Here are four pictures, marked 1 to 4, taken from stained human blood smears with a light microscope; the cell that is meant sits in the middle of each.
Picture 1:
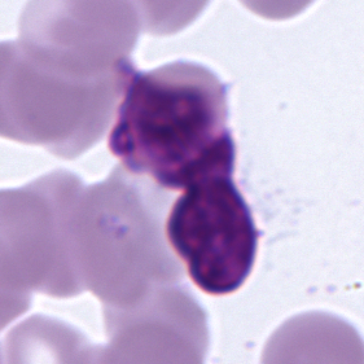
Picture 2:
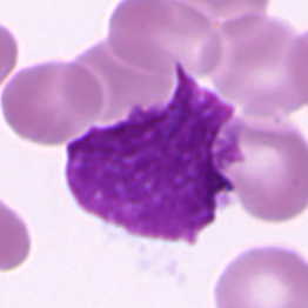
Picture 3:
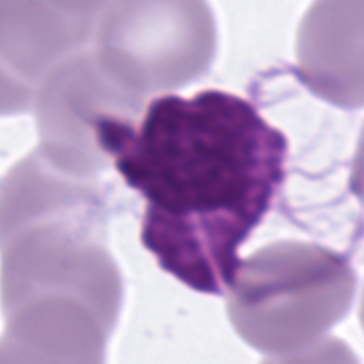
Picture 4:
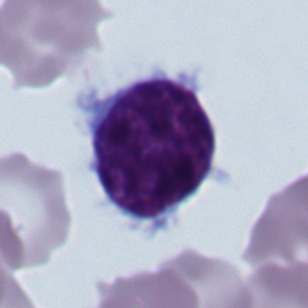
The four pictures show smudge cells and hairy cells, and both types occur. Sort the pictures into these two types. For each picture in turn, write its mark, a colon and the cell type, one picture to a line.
1: smudge cell
2: smudge cell
3: smudge cell
4: hairy cell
